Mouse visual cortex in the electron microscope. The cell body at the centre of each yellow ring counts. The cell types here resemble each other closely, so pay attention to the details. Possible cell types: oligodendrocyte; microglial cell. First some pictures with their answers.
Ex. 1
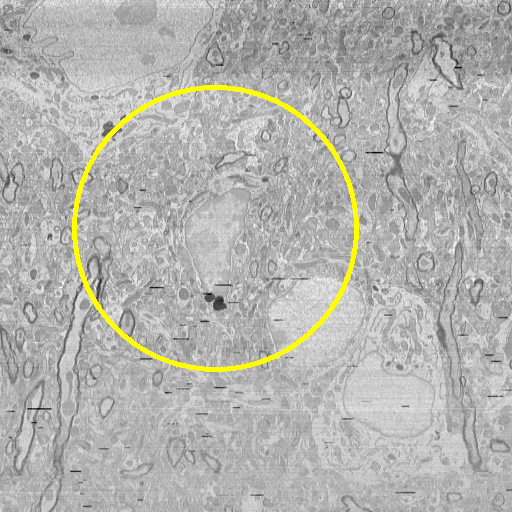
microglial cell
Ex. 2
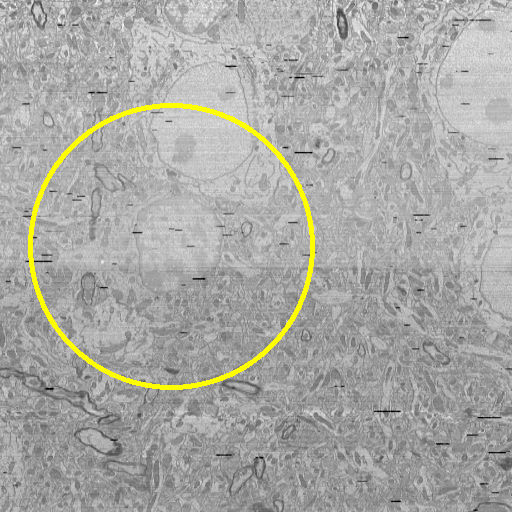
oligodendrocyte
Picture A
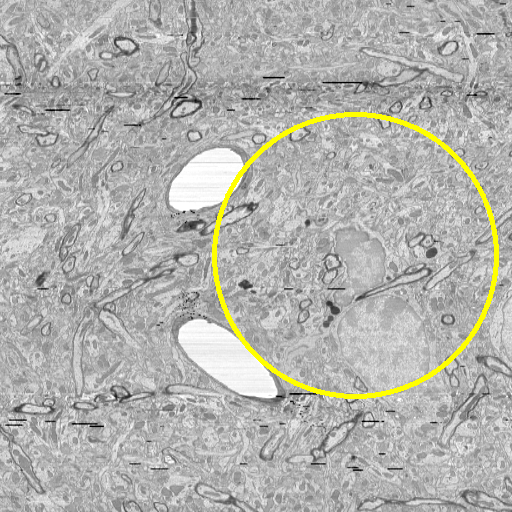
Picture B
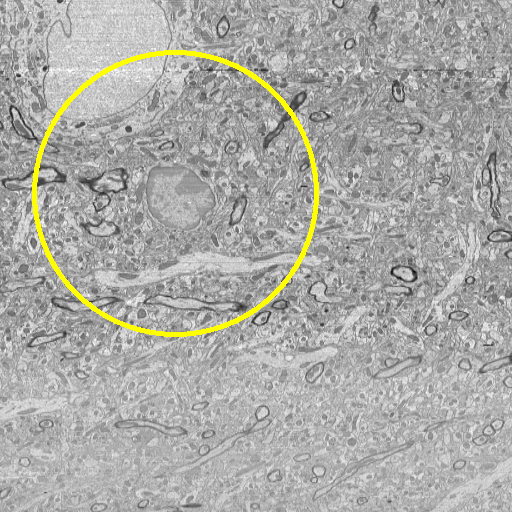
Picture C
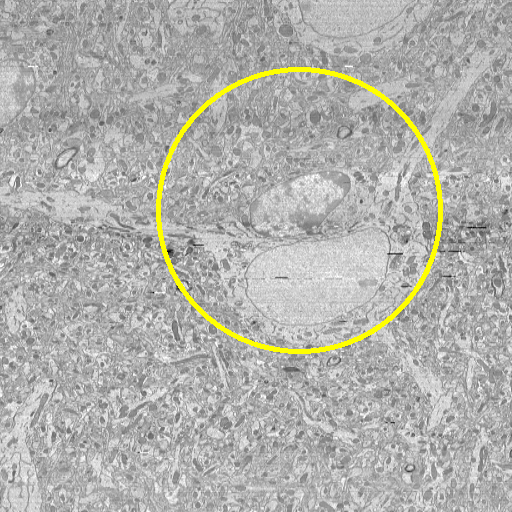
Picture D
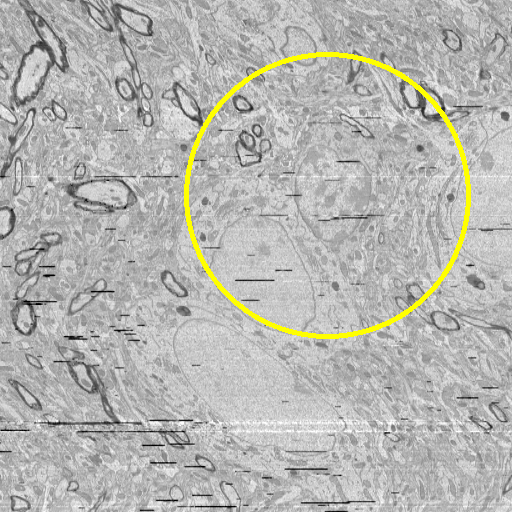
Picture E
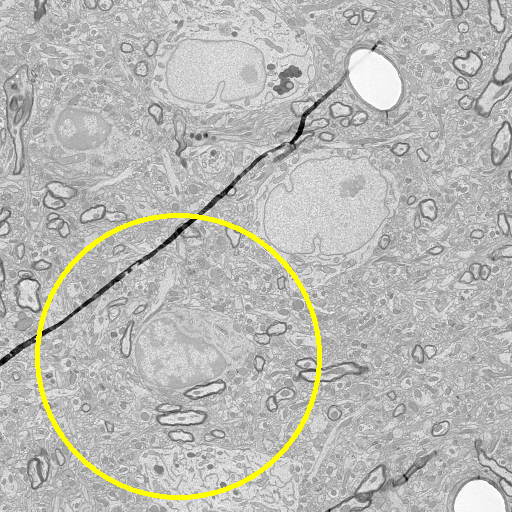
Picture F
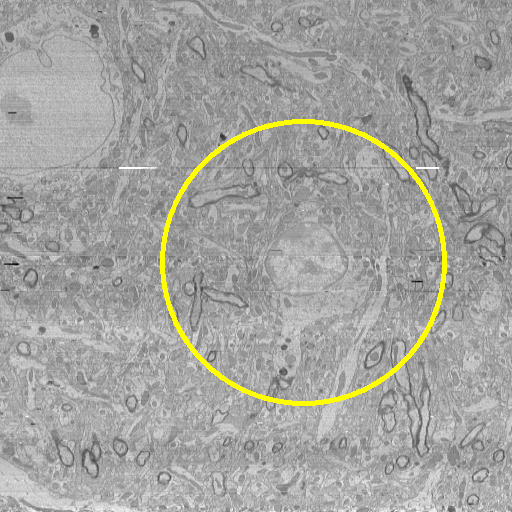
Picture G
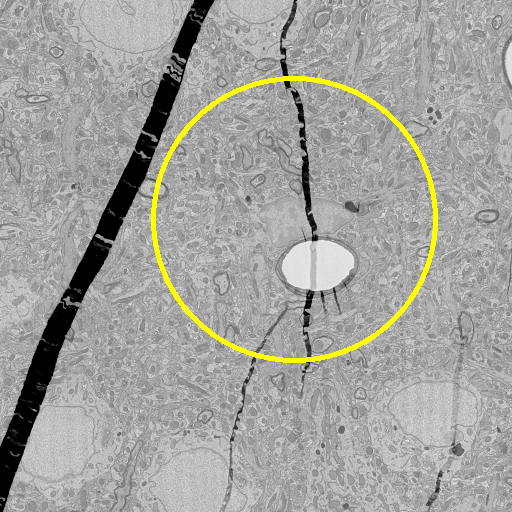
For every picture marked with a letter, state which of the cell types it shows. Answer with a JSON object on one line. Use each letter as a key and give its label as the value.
{"A": "microglial cell", "B": "microglial cell", "C": "oligodendrocyte", "D": "oligodendrocyte", "E": "oligodendrocyte", "F": "oligodendrocyte", "G": "microglial cell"}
